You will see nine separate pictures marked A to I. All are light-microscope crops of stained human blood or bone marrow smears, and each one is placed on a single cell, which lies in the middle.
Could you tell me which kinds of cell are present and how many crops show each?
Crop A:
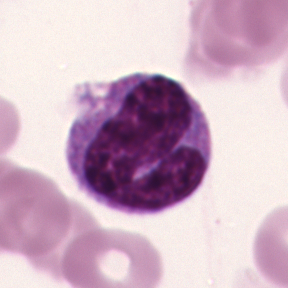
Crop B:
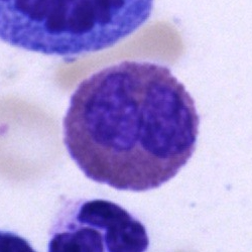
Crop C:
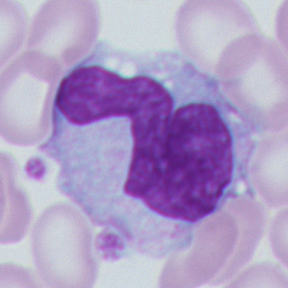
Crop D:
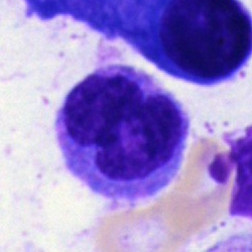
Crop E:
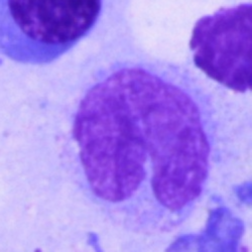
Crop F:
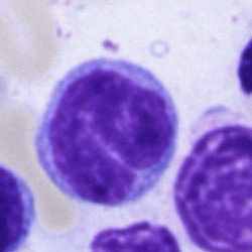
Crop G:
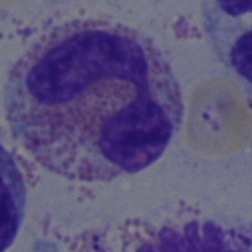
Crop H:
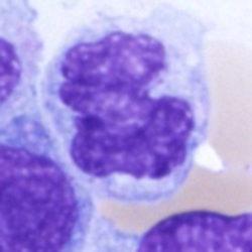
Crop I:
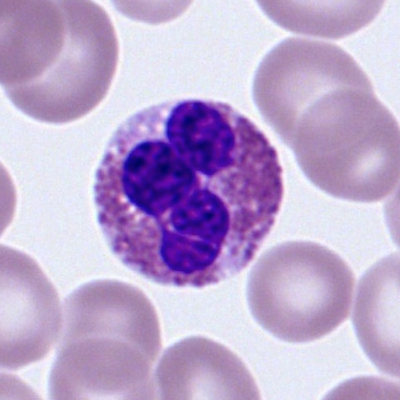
monocyte: 6
eosinophil: 3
